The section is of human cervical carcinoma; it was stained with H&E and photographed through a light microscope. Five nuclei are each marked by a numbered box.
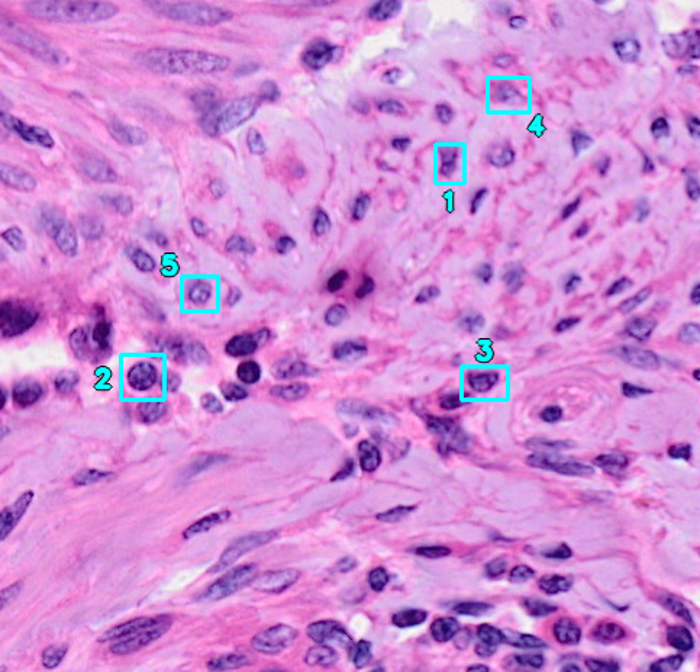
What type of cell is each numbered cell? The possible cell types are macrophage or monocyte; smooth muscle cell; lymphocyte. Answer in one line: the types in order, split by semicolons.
smooth muscle cell; lymphocyte; lymphocyte; smooth muscle cell; smooth muscle cell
